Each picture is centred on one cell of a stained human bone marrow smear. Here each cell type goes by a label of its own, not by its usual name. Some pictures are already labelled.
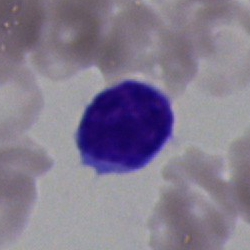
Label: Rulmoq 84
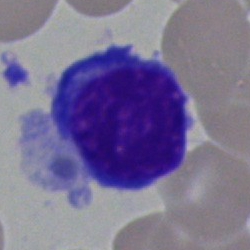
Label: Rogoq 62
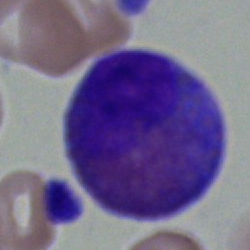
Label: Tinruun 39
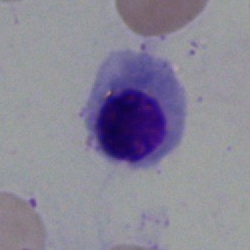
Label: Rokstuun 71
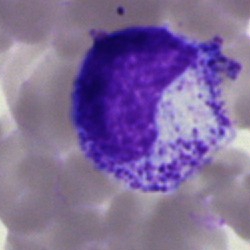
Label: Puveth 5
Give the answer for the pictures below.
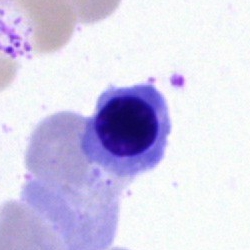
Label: Rokstuun 71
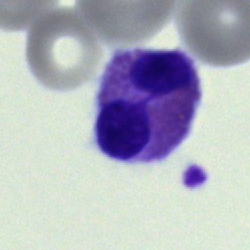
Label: Tinruun 39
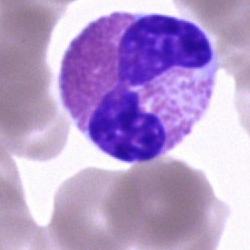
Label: Tinruun 39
